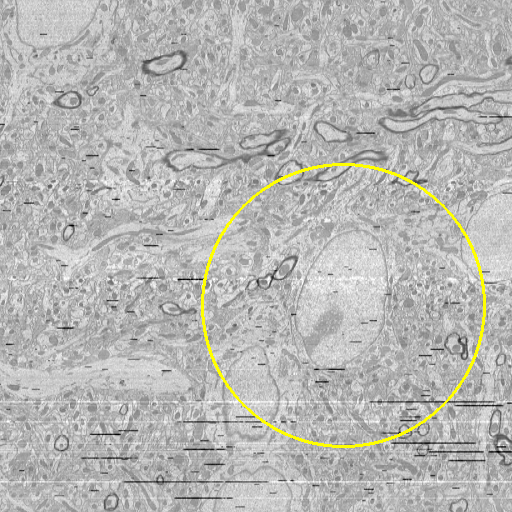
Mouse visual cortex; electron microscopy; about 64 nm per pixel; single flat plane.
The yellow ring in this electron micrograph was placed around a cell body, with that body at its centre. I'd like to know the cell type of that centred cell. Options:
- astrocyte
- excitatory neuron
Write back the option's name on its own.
astrocyte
